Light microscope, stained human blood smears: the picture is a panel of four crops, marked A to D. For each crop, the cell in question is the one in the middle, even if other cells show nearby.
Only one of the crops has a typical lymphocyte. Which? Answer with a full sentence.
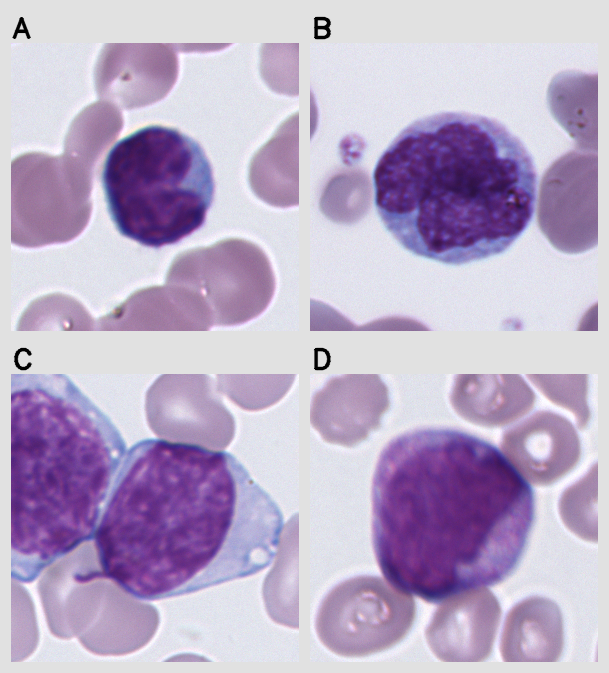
Crop A is the one depicting a typical lymphocyte.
